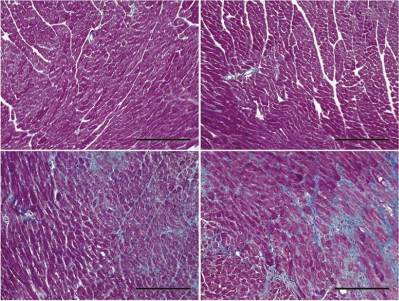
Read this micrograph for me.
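These are sections of heart muscle, with the cardiomyocytes stained red-purple as long, closely packed fibres separated by thin pale clefts. In the lower two images, blue-stained fibrous material spreads between the muscle fibres in patches, while in the upper two the blue is almost absent.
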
